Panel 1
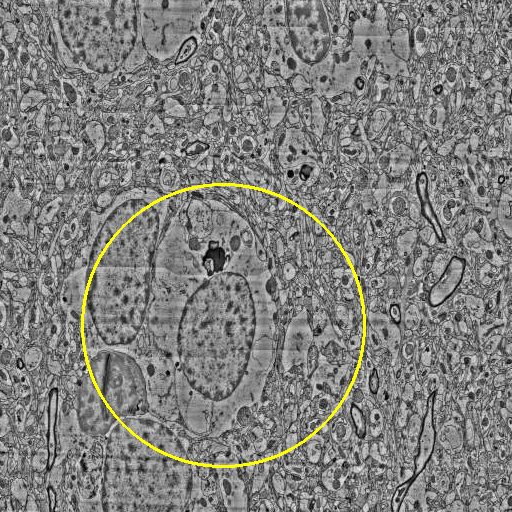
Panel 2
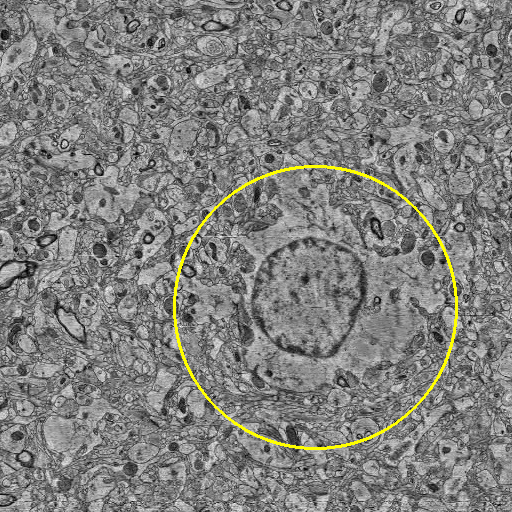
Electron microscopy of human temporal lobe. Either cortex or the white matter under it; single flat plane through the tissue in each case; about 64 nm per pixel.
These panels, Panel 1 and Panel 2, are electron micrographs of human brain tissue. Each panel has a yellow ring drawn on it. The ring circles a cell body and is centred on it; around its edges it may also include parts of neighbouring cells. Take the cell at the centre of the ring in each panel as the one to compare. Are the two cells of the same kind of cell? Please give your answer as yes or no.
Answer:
yes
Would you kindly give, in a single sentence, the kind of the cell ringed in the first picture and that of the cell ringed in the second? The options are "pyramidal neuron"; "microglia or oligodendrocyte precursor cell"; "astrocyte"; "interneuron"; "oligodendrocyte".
Each of the two pictures has an astrocyte at the ring centre.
